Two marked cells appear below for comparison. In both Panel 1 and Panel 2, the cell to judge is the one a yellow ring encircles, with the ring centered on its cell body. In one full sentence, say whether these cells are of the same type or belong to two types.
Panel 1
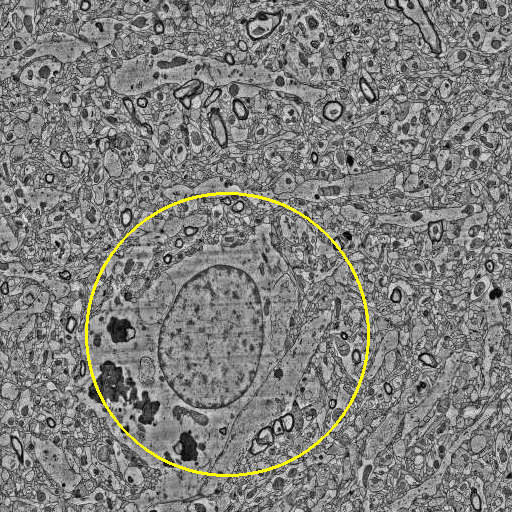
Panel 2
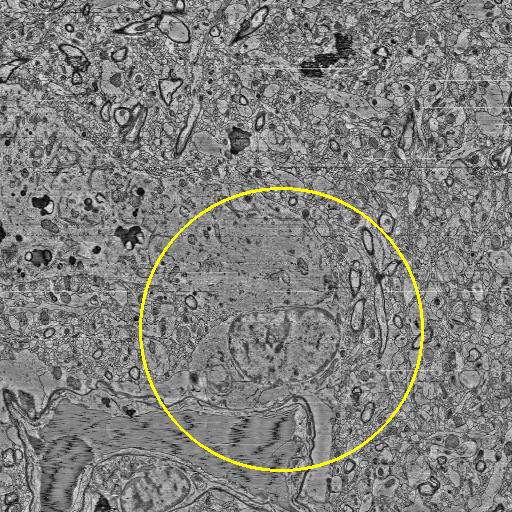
The cell centered in the Panel 1 ring and the one in Panel 2 belong to two types.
